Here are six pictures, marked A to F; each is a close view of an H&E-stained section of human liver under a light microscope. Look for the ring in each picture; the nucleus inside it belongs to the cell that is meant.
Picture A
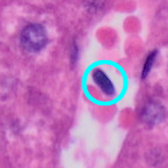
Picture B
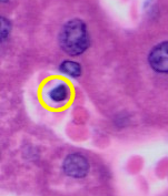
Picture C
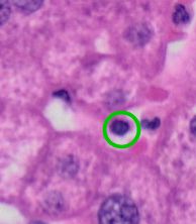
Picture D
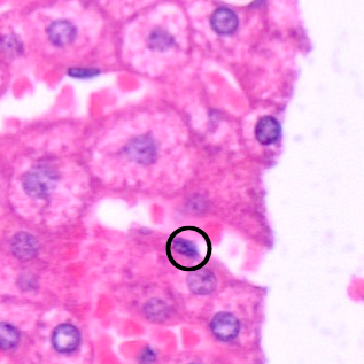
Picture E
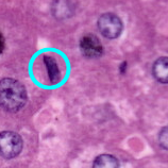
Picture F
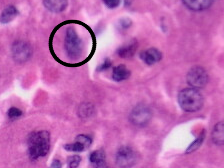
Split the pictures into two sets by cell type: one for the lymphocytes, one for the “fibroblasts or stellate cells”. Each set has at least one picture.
A: lymphocyte
B: lymphocyte
C: lymphocyte
D: fibroblast or stellate cell
E: fibroblast or stellate cell
F: fibroblast or stellate cell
